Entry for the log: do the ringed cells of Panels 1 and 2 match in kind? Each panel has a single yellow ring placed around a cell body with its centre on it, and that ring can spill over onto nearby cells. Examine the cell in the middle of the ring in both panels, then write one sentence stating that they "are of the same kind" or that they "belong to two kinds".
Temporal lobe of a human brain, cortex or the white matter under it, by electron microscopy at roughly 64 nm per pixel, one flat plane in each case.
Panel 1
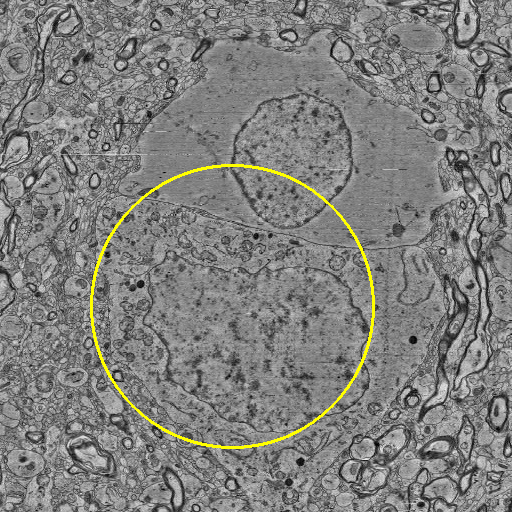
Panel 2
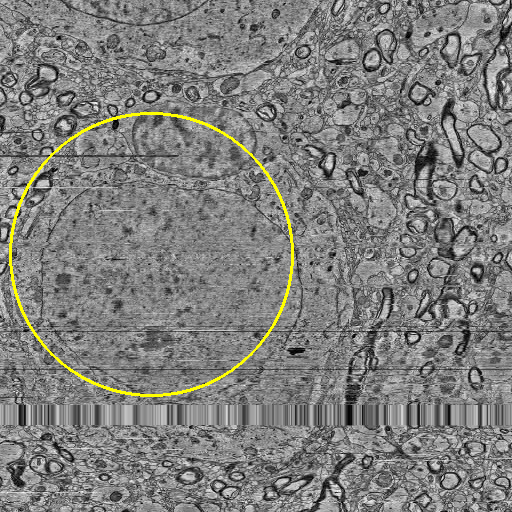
The centre cell of Panel 1's ring and that of Panel 2's ring are of the same kind.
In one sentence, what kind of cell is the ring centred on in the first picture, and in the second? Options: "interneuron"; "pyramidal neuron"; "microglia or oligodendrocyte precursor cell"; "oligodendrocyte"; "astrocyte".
In each picture the ringed cell is a pyramidal neuron.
